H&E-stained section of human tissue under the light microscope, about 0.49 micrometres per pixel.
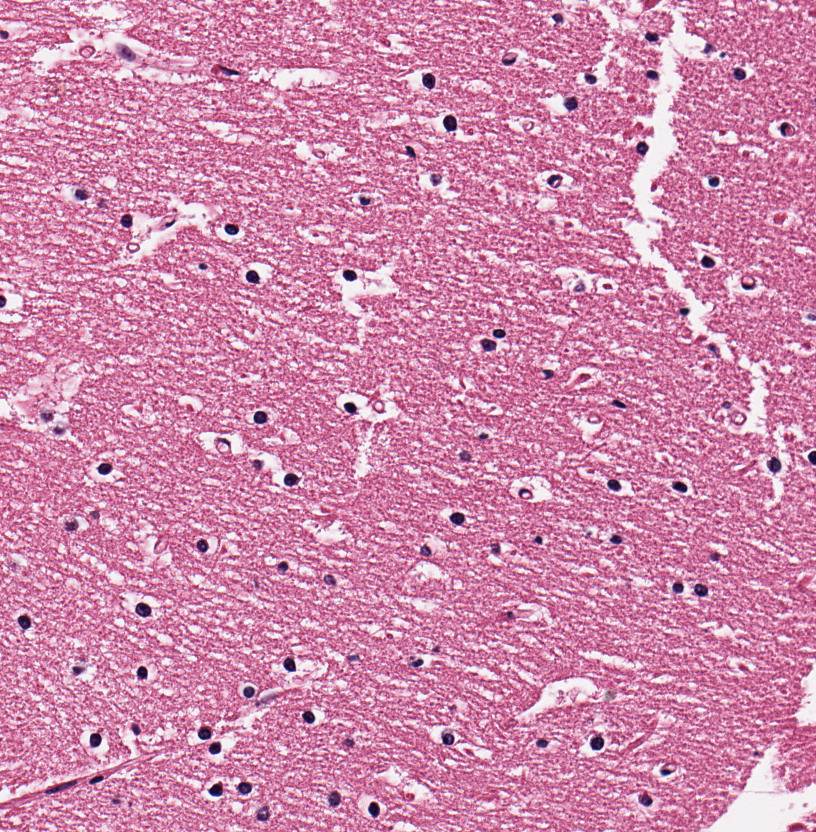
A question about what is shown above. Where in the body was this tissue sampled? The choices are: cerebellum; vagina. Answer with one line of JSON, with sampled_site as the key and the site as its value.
{"sampled_site": "cerebellum"}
